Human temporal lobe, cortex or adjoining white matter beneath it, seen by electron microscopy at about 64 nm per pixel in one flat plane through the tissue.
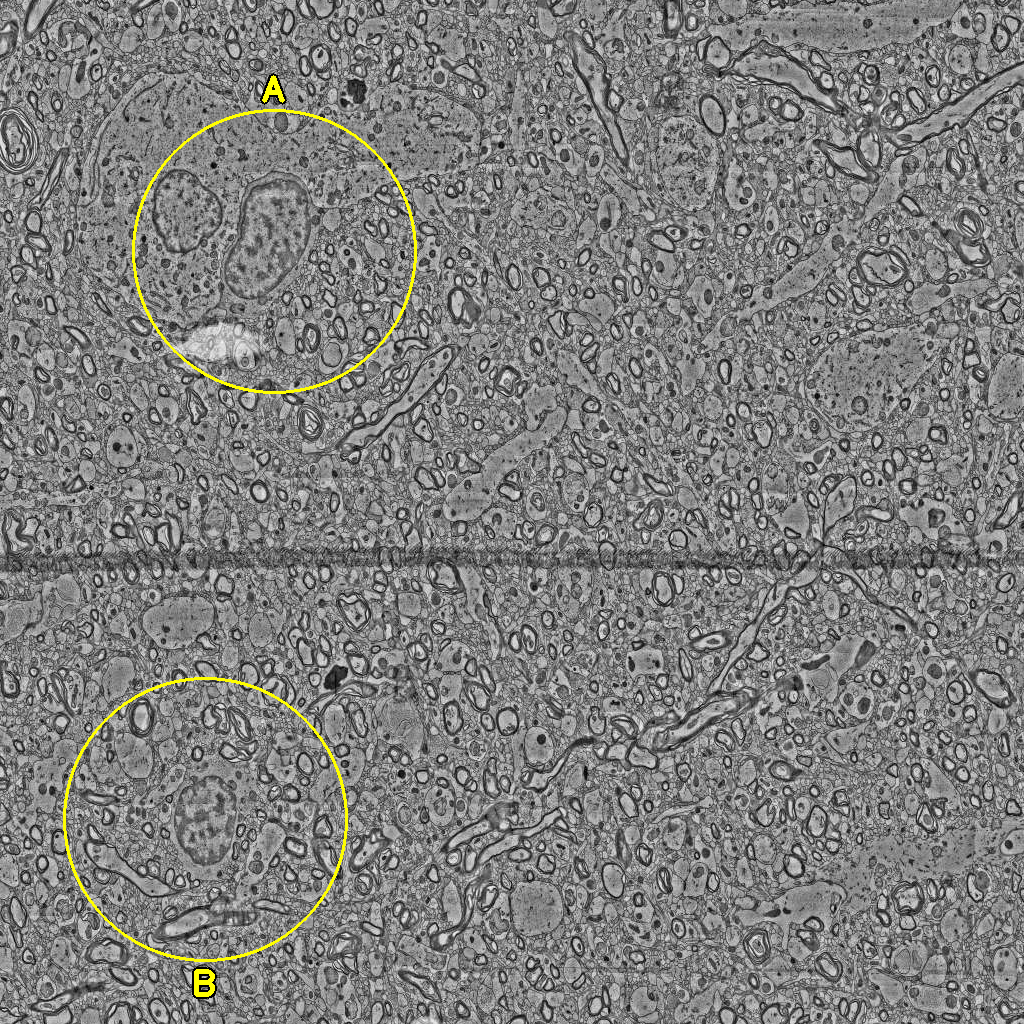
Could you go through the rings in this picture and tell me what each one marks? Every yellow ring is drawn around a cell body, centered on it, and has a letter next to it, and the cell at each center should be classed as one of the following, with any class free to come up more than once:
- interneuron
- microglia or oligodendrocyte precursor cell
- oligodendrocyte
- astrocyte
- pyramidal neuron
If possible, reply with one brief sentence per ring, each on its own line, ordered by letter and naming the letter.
The cell centered in ring A is an oligodendrocyte.
The cell centered in ring B is an oligodendrocyte.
